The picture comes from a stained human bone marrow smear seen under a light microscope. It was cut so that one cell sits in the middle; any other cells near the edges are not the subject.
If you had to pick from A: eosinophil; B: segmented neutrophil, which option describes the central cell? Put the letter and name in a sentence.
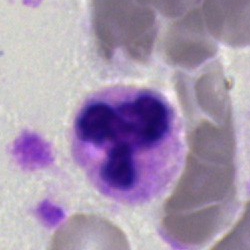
Option B is the correct option, with the middle cell being a segmented neutrophil.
